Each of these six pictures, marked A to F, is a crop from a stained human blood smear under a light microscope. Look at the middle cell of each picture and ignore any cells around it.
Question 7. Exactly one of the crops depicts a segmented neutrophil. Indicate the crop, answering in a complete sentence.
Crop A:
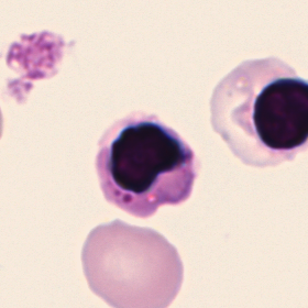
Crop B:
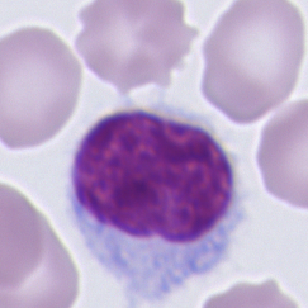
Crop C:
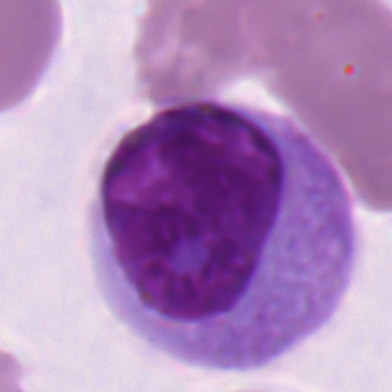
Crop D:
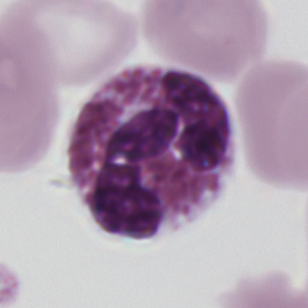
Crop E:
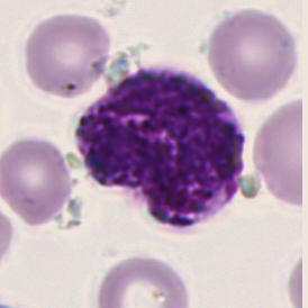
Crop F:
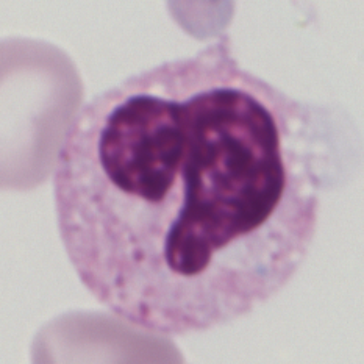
The sole crop showing a segmented neutrophil is crop F.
